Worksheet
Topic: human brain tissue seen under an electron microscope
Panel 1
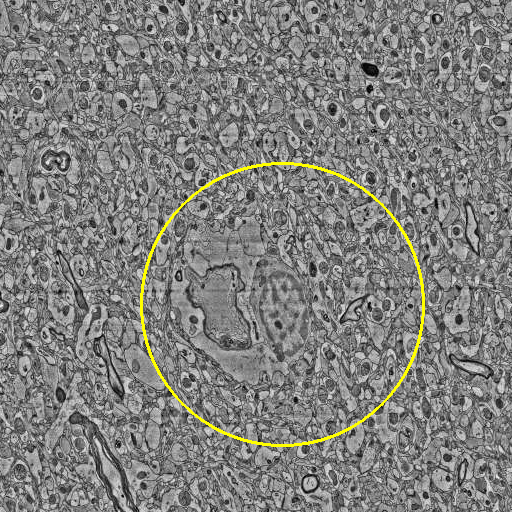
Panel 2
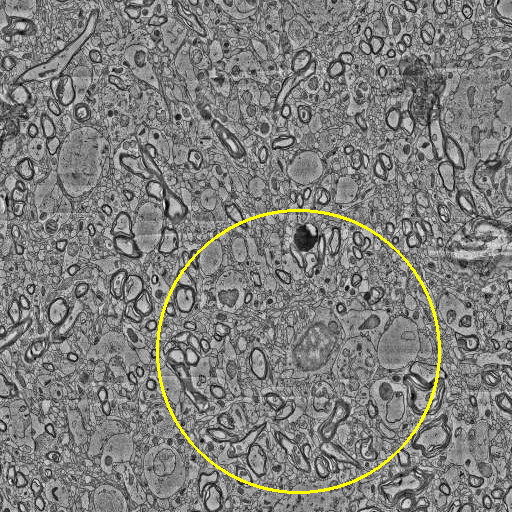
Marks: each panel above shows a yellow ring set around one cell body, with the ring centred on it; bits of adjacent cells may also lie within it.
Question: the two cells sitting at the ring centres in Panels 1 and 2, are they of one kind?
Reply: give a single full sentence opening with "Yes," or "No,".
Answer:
Yes, the two ring-centre cells in Panel 1 and Panel 2 are of one kind.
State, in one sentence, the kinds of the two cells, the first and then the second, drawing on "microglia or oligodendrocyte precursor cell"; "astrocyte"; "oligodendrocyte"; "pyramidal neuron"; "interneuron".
Both pictures show an oligodendrocyte at the centre of the ring.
